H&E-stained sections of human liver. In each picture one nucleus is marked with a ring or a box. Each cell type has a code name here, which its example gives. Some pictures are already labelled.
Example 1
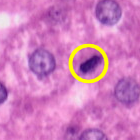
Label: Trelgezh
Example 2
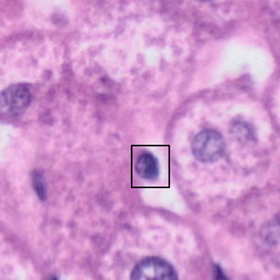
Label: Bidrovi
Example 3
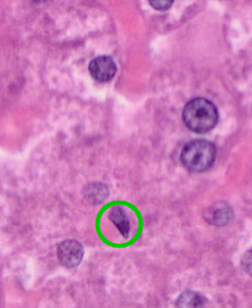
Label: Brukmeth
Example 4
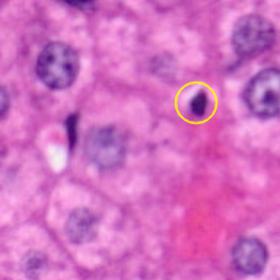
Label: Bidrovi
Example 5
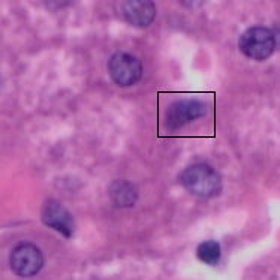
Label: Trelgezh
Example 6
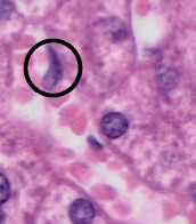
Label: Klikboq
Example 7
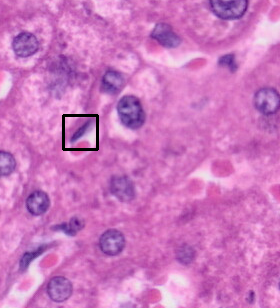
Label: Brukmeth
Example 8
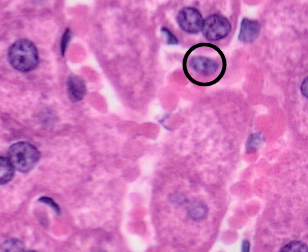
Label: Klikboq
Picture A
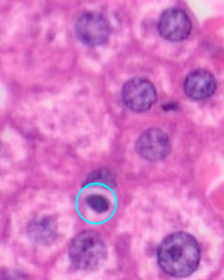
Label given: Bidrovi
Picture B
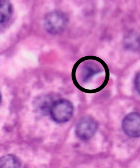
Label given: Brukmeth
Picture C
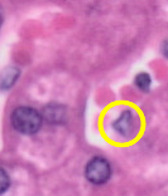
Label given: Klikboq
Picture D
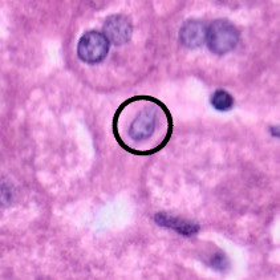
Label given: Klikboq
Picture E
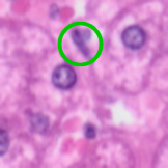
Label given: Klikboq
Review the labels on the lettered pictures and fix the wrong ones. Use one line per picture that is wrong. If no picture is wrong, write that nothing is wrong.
No label is wrong.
